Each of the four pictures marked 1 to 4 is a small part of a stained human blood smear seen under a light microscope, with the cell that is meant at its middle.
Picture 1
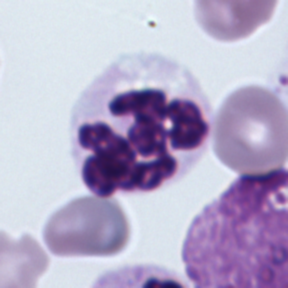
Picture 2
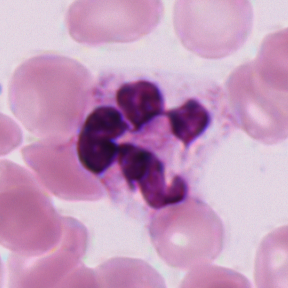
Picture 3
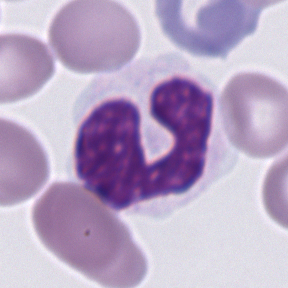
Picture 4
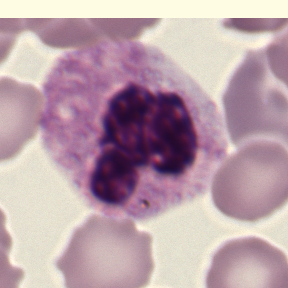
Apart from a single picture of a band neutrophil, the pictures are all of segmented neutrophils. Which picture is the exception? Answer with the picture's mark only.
3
